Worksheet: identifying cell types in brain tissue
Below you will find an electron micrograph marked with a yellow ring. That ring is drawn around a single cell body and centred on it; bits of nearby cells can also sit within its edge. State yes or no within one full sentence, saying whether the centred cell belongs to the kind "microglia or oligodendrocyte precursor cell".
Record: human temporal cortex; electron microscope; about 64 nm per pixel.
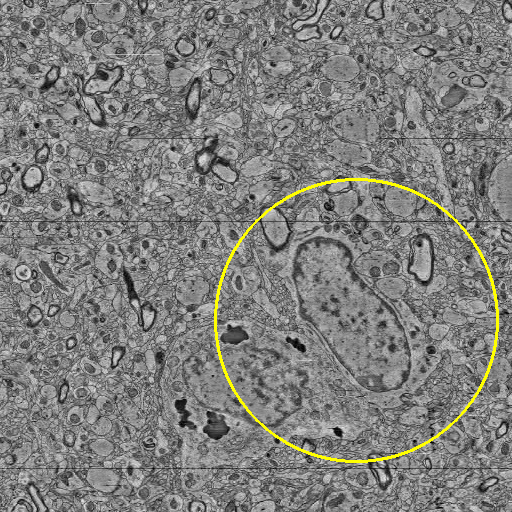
Yes, the cell sitting at the centre of the yellow ring in this picture is of that kind.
